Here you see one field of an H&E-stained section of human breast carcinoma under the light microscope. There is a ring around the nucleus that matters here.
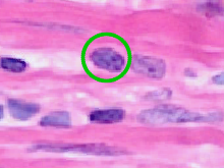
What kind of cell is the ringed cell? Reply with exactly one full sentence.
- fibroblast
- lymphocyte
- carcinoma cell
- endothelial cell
For the purposes of cell typing, the ringed cell is categorized as a lymphocyte.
